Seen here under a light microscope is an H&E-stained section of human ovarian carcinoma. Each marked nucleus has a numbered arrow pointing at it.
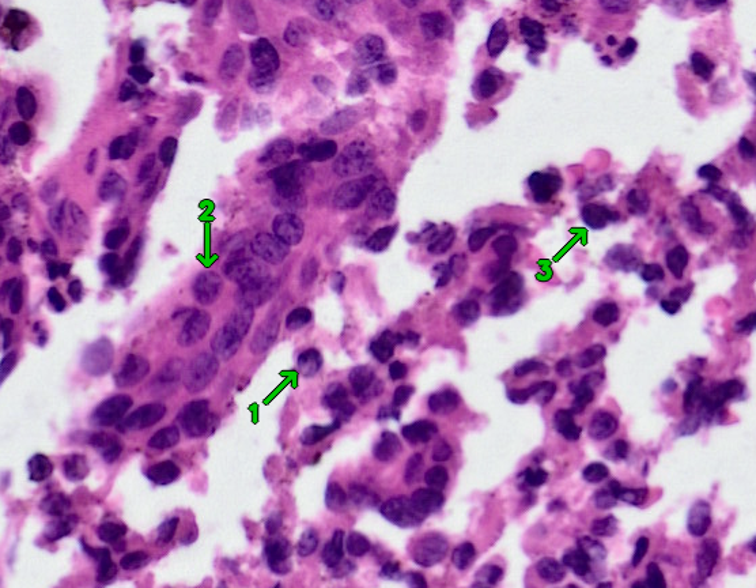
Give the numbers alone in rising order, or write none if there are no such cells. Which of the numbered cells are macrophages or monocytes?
1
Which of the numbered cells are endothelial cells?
none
